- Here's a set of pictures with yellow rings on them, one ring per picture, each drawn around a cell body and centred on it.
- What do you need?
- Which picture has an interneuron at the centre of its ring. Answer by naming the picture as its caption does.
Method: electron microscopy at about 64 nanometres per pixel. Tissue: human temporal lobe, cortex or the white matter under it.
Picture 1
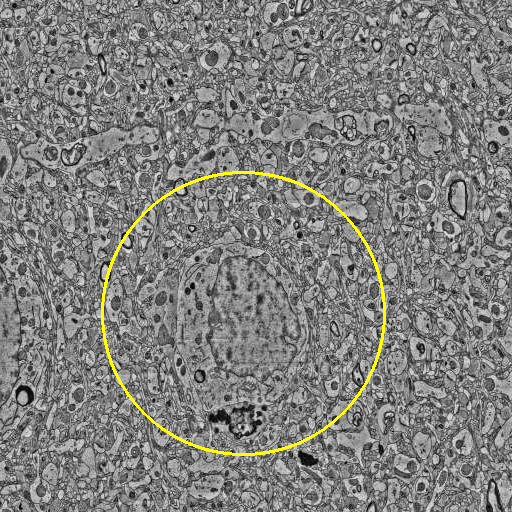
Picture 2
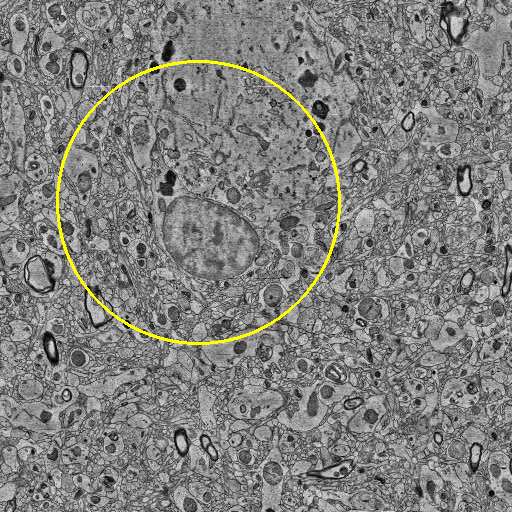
Picture 1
